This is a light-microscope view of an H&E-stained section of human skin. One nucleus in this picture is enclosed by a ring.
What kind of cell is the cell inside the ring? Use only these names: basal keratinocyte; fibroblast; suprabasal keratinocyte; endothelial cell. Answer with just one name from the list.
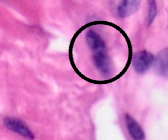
endothelial cell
